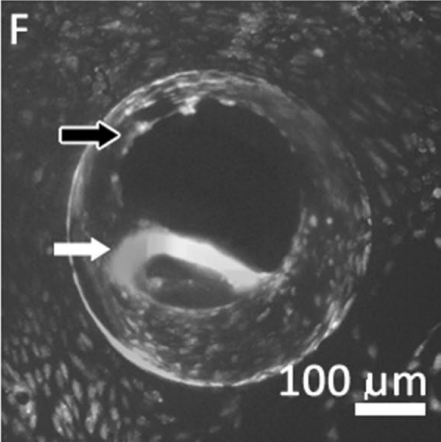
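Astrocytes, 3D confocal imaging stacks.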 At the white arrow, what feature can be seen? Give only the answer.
cell masses crossing the hole to the opposite wall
